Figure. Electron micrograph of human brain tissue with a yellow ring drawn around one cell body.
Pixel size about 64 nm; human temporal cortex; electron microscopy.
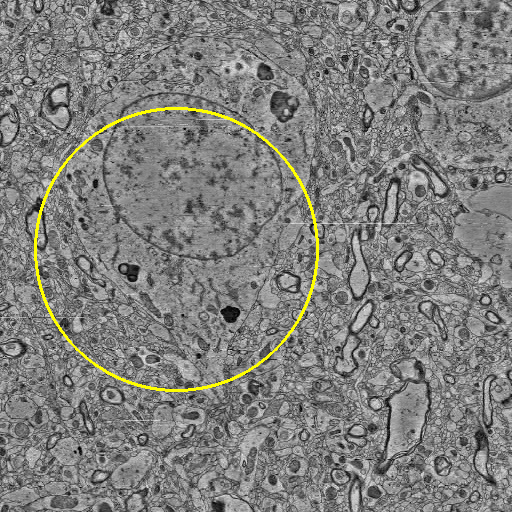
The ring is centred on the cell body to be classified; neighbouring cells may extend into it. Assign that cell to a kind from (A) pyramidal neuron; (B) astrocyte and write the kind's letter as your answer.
A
